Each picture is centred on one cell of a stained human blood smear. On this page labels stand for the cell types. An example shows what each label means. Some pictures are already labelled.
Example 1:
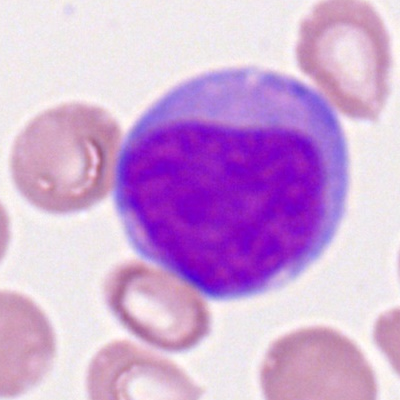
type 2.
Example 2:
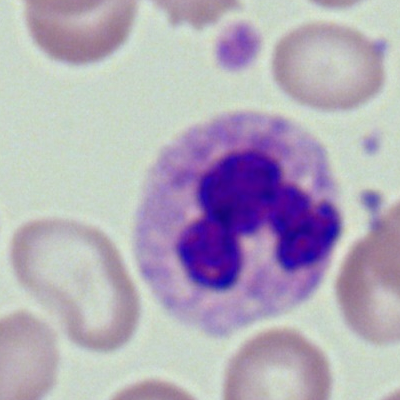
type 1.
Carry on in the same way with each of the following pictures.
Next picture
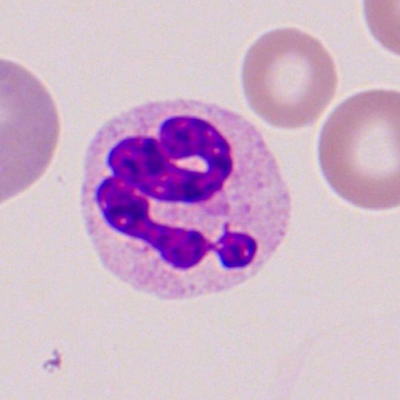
type 1.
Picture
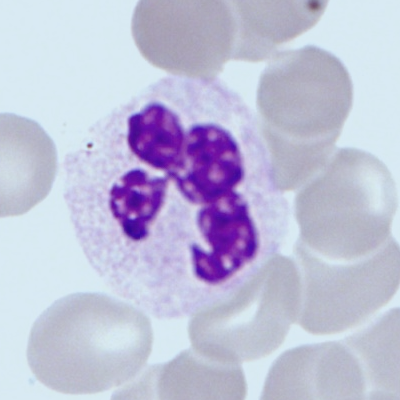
type 1.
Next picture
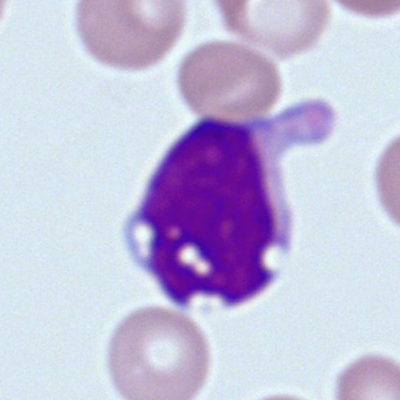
type 2.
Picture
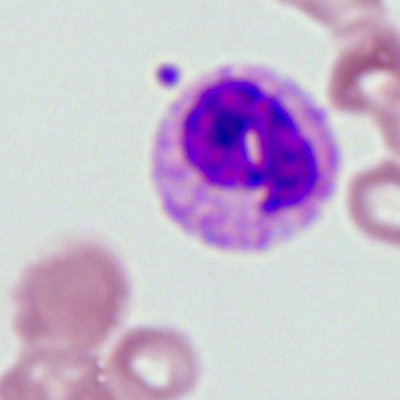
type 1.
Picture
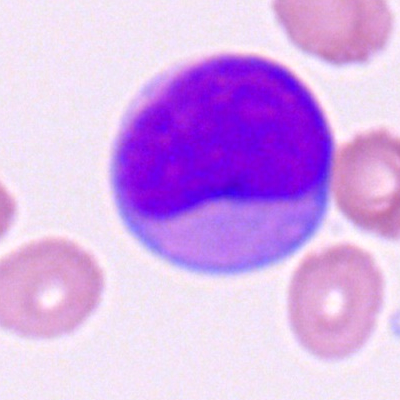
type 2.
